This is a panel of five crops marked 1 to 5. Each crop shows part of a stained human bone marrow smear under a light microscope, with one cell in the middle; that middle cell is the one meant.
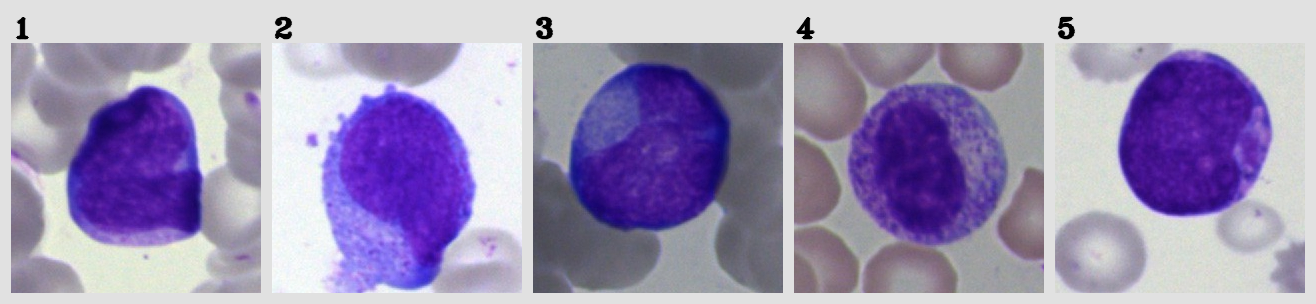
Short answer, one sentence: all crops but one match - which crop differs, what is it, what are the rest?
Crop 4 breaks the pattern with a myelocyte; all the others show blasts.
